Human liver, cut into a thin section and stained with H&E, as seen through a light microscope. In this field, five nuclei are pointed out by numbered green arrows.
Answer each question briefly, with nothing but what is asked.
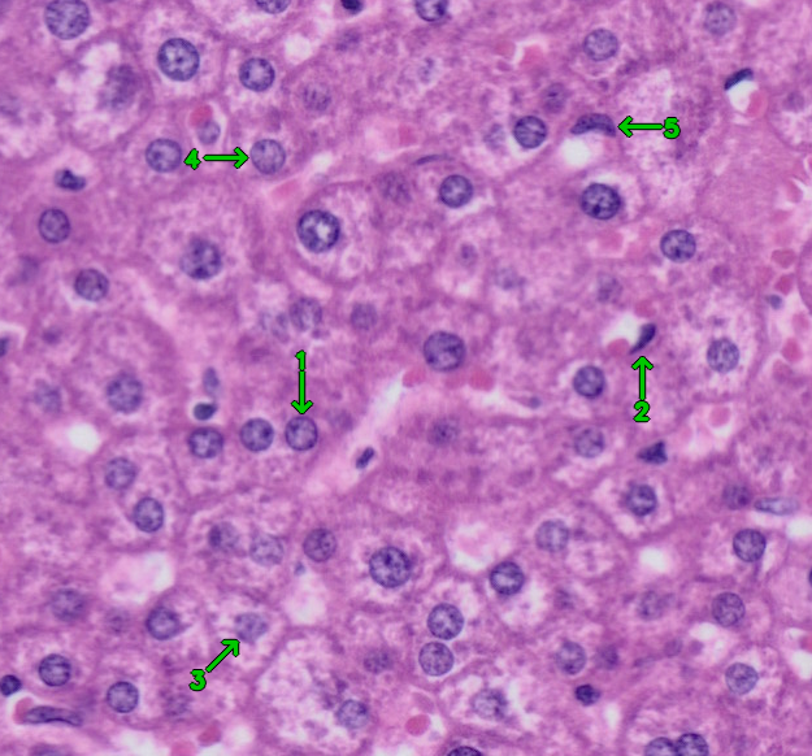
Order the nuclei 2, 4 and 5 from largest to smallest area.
4, 5, 2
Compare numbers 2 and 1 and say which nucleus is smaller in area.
2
